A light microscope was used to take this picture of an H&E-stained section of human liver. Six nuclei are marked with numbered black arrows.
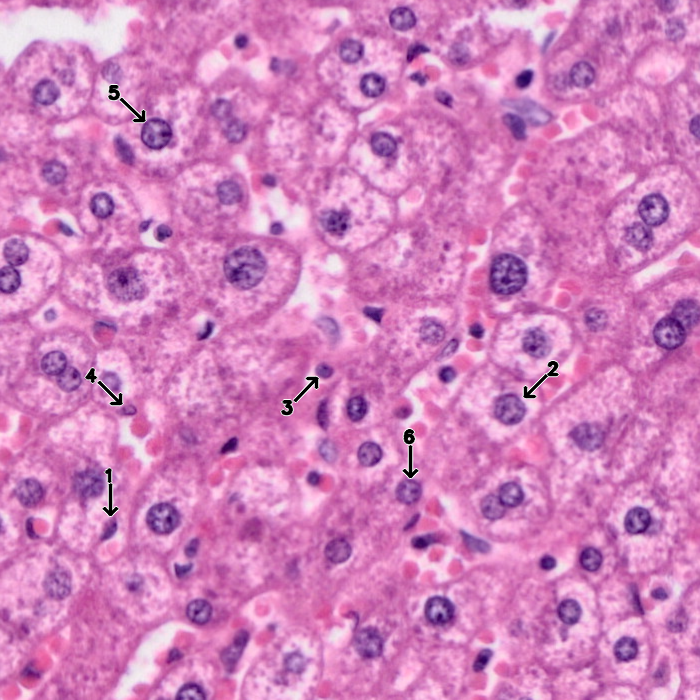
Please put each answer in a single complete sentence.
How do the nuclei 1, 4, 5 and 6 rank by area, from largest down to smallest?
From largest to smallest, the order is 5, 6, 1, 4.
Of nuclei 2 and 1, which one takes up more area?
Nucleus 2 is the larger one, covering about 3 times the area of nucleus 1.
